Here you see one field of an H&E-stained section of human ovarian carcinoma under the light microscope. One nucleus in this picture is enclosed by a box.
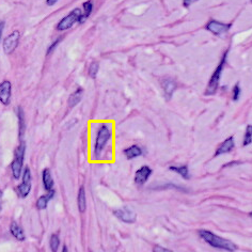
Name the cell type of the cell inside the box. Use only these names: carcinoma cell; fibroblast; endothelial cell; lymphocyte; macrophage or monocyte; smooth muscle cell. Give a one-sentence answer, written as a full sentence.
The identity of the cell inside the box: it is a fibroblast.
